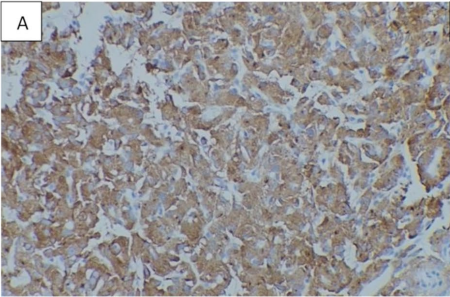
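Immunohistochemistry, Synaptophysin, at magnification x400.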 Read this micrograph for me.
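The nests are divided by thin, pale, branching septa and small slit-like spaces that carry a bluish tint, giving the tissue a loosely lobulated, nested look. Nuclei are hard to pick out under the dense brown stain; there is no gland formation and no obvious necrosis in the field.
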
